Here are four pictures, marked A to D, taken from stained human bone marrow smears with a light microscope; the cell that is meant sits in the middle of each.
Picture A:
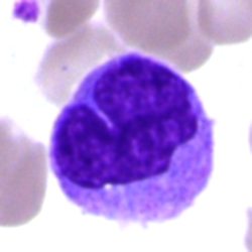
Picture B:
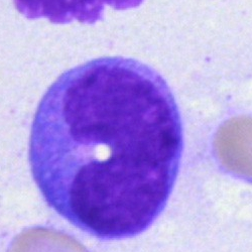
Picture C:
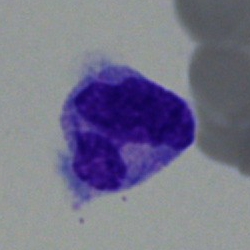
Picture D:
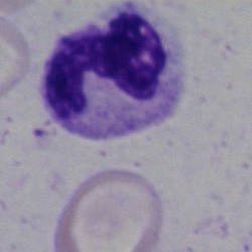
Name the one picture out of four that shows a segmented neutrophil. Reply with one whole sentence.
The segmented neutrophil is the one in picture D.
